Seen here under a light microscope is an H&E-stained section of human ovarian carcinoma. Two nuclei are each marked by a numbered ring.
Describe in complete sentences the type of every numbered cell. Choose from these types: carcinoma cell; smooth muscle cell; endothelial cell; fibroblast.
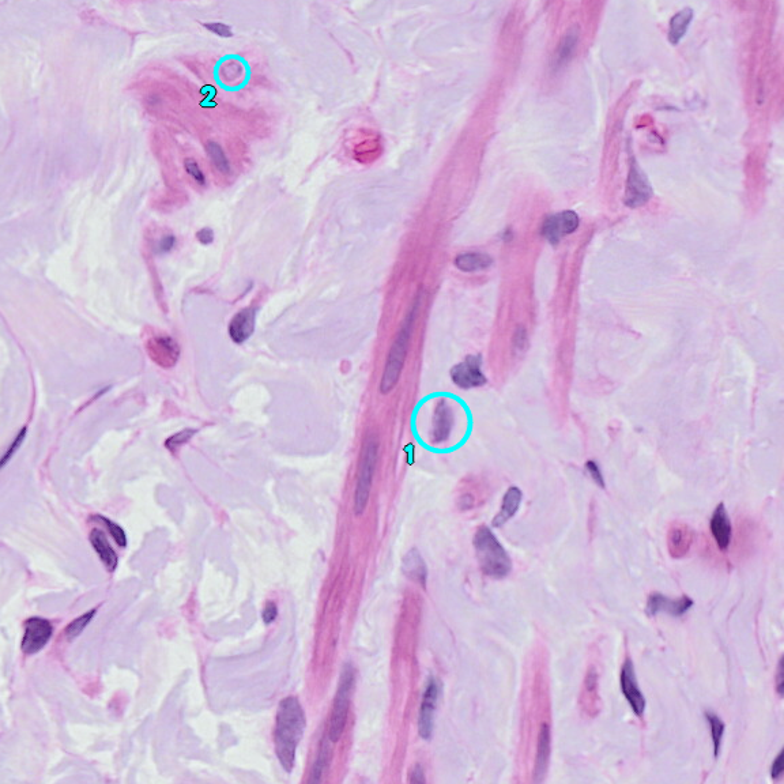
Cell 1 is a fibroblast and cell 2 is a smooth muscle cell.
